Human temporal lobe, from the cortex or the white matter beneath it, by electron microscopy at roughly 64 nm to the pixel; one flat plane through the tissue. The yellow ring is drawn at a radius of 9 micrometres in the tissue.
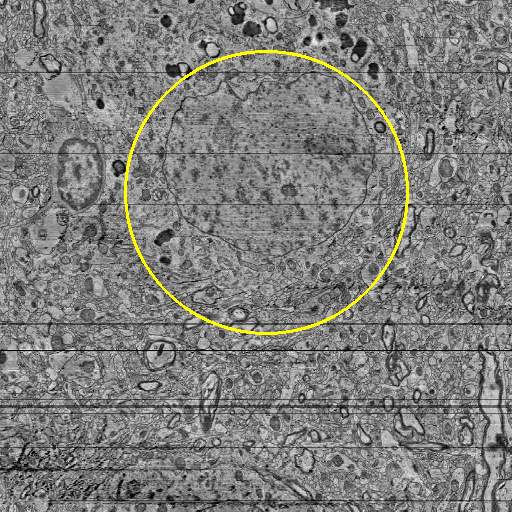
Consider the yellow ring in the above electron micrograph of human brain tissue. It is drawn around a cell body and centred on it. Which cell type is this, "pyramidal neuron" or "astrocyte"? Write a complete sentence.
The cell in question is a pyramidal neuron.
